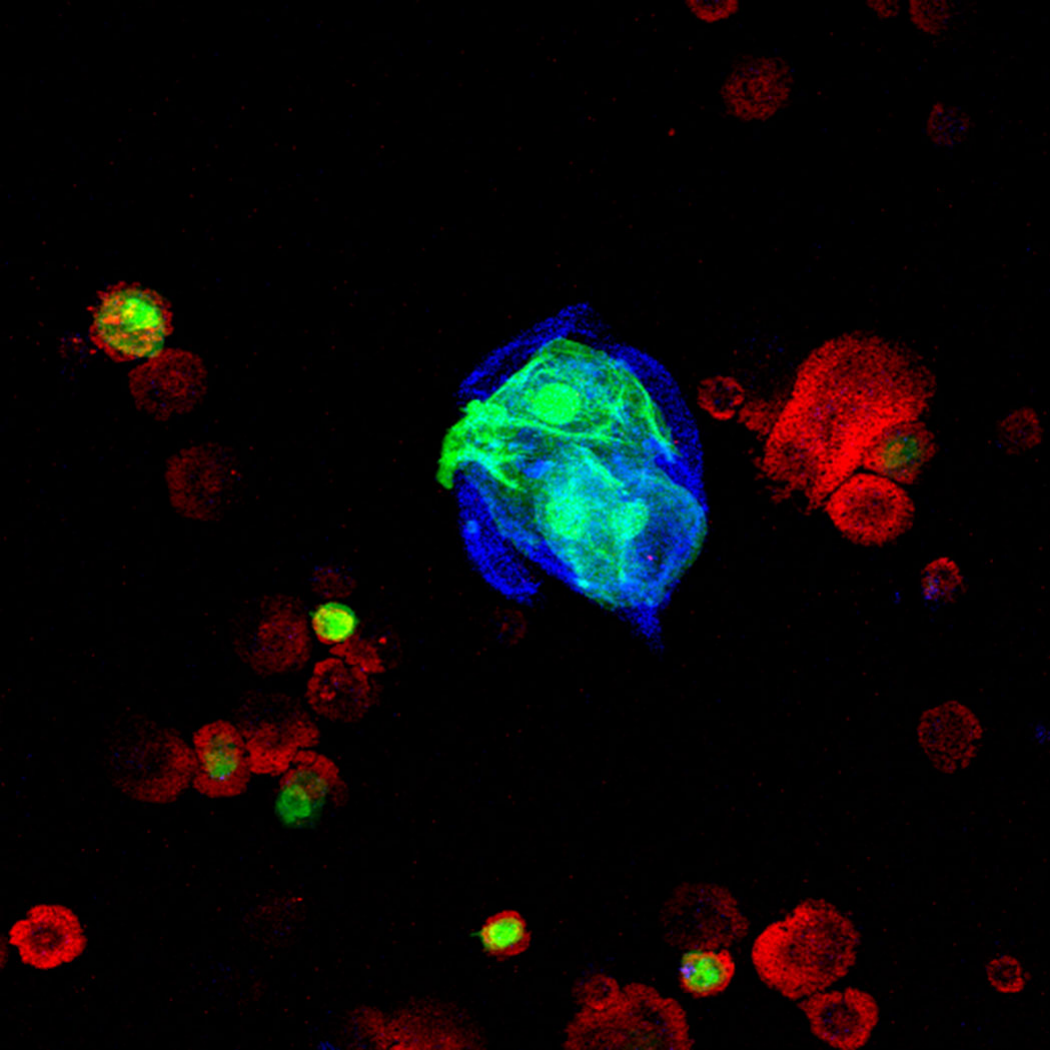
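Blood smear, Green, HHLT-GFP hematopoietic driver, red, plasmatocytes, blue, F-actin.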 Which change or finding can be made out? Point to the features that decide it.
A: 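Aggregating. Several red round cells lie clumped together at the right of the central cell. Small groups of touching cells lie at the left and bottom.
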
